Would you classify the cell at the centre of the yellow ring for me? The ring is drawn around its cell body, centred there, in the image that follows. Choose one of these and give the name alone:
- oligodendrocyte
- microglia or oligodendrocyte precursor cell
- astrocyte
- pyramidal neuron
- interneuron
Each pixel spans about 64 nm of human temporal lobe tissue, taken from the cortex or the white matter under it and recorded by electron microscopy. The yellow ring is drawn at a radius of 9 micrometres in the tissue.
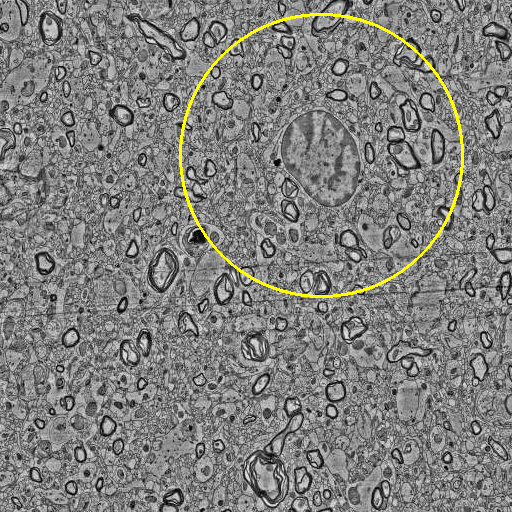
microglia or oligodendrocyte precursor cell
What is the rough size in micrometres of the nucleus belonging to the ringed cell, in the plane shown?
The ringed cell's nucleus is about 6 micrometres long and 5 micrometres wide in this plane.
